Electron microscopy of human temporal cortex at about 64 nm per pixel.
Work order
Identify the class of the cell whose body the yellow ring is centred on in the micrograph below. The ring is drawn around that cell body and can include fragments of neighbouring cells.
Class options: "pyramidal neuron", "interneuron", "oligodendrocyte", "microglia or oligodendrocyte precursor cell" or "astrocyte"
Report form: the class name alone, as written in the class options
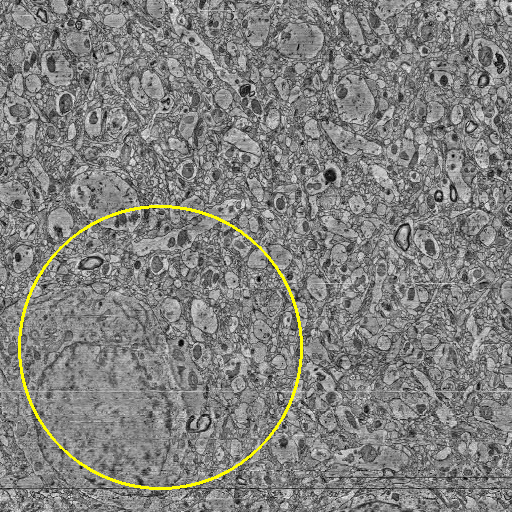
oligodendrocyte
